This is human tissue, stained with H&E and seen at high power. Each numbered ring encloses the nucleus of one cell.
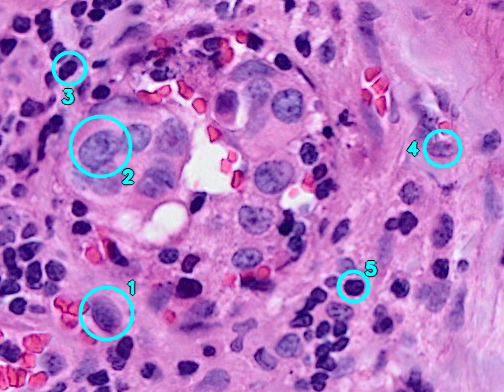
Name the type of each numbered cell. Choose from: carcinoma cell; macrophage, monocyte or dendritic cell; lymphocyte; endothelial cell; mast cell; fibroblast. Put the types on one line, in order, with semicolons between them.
endothelial cell; carcinoma cell; lymphocyte; endothelial cell; lymphocyte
